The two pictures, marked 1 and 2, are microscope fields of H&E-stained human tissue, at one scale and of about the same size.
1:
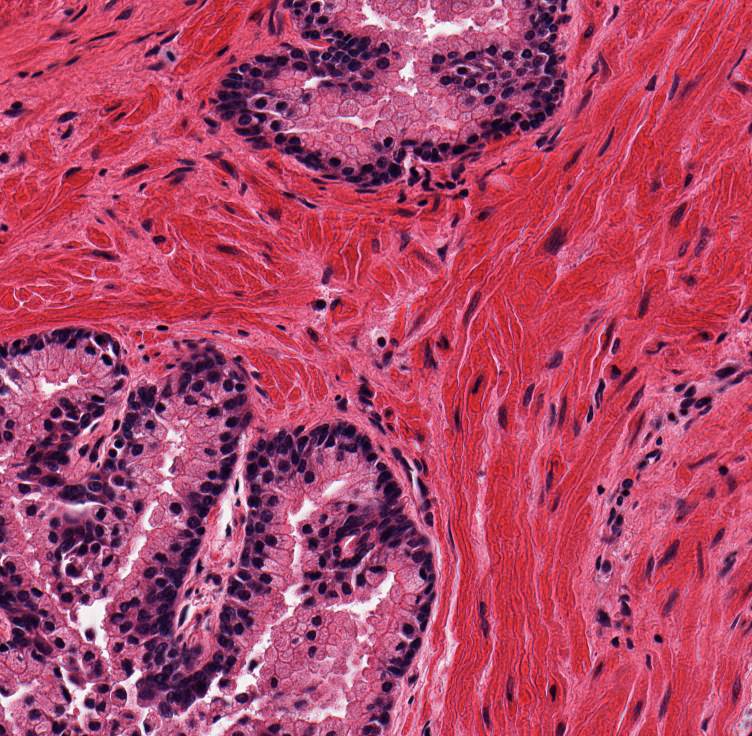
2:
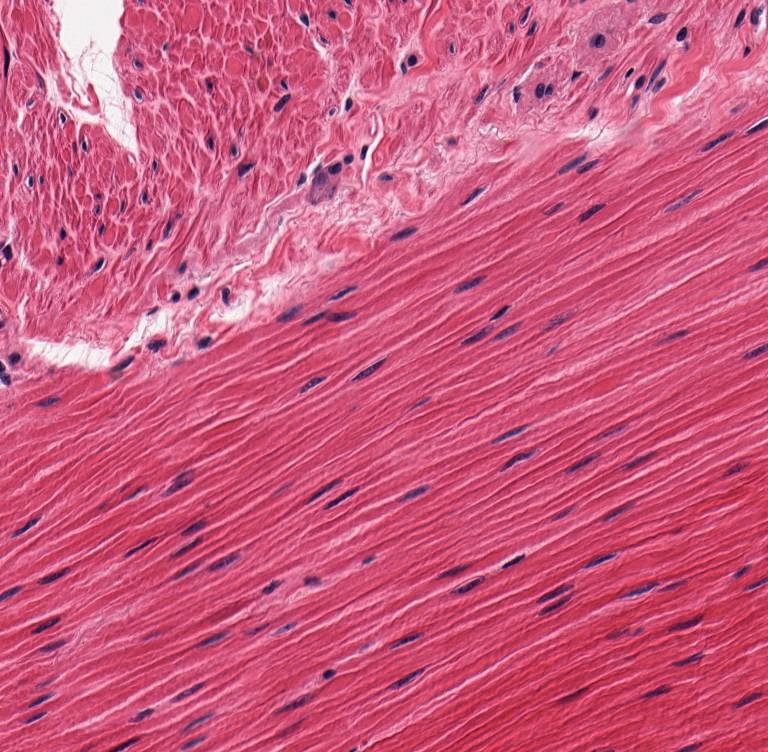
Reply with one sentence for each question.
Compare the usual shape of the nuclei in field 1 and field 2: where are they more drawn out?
On the whole the nuclei of field 2 are more drawn out than those of field 1.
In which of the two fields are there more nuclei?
Field 1 holds more nuclei than field 2.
